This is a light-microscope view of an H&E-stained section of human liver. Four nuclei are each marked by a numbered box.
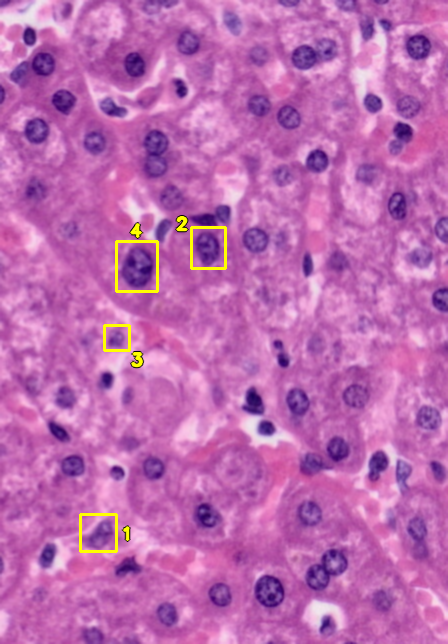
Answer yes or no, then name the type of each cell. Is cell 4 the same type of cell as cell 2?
Yes, cells number 4 and number 2 are both hepatocytes.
